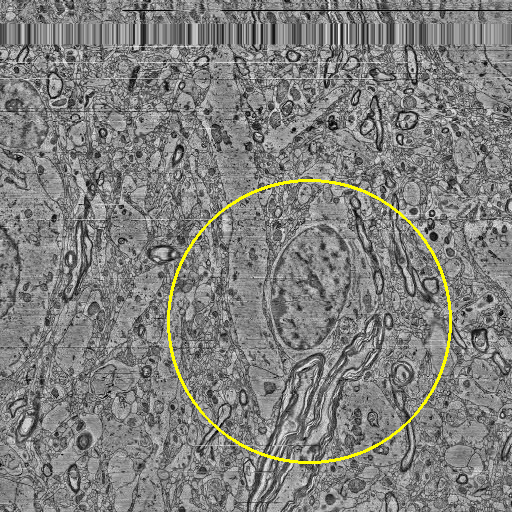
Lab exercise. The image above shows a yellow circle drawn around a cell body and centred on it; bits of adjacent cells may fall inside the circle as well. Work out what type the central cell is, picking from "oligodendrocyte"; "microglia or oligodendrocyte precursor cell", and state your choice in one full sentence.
In the image above, the cell at the centre of the yellow circle is a microglial cell or oligodendrocyte precursor cell.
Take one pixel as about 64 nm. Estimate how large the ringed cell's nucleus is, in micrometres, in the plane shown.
About 8 by 5 micrometres in this plane; clearly longer than it is wide.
